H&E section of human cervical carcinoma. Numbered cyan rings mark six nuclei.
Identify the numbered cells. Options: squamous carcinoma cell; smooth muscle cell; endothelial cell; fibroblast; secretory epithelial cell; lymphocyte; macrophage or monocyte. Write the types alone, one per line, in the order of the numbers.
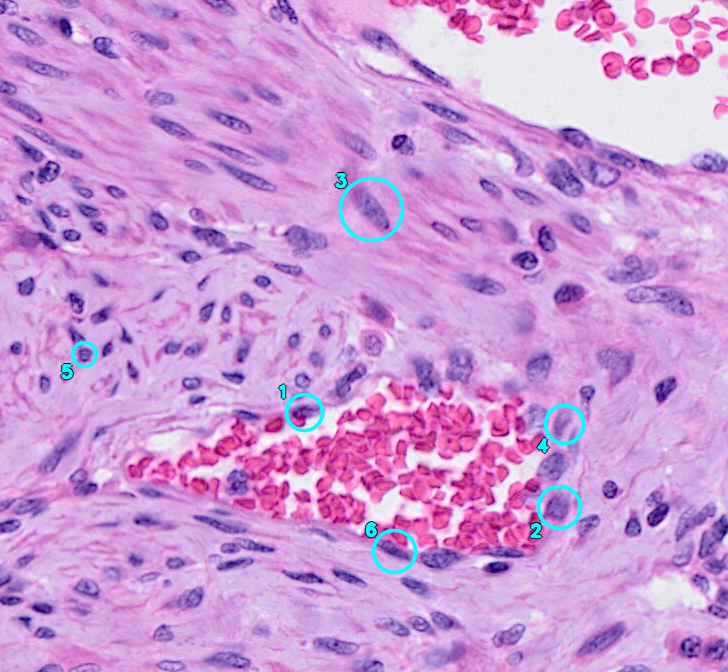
endothelial cell
endothelial cell
smooth muscle cell
endothelial cell
smooth muscle cell
endothelial cell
